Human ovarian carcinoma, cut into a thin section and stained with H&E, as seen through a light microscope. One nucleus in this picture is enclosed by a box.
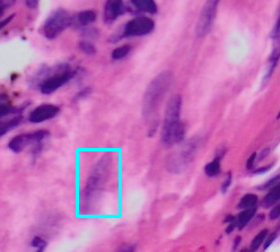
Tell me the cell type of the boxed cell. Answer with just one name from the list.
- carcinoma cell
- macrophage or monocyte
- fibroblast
fibroblast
